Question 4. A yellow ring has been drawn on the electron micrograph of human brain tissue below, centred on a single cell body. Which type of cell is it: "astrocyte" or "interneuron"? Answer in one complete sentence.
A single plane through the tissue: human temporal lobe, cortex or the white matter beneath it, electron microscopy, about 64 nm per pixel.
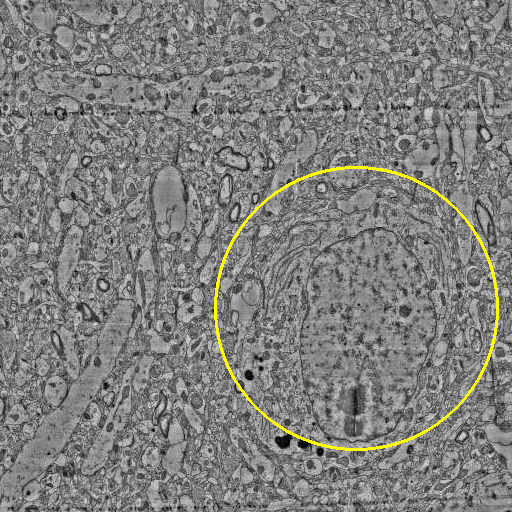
This cell body belongs to an interneuron.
